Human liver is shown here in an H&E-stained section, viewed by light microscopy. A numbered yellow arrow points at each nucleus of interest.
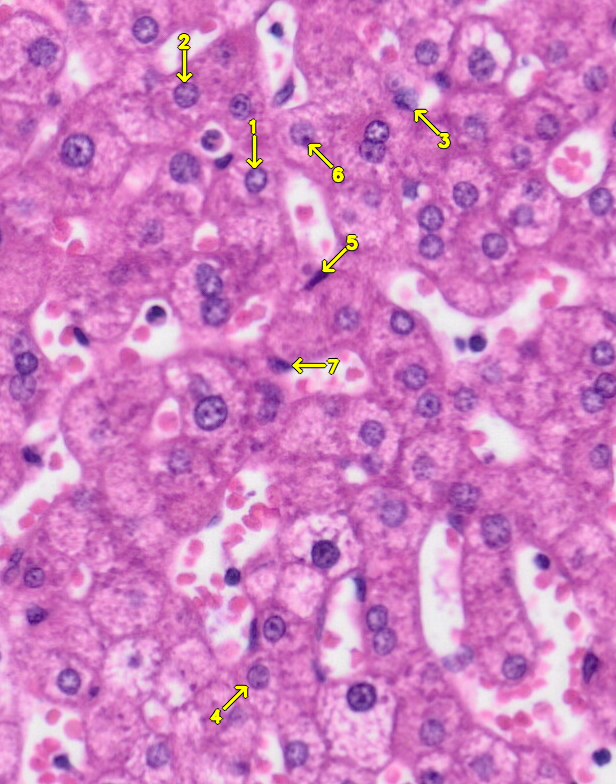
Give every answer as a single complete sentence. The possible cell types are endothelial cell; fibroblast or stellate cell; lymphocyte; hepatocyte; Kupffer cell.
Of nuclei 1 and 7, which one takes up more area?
Number 1 is larger; its area is about 1.5 times that of number 7.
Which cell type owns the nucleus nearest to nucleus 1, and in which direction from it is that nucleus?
A fibroblast or stellate cell lies closest, above and to the left of nucleus 1.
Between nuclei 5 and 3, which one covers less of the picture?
Nucleus 5 covers less area, with nucleus 3 about 2 times as large.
